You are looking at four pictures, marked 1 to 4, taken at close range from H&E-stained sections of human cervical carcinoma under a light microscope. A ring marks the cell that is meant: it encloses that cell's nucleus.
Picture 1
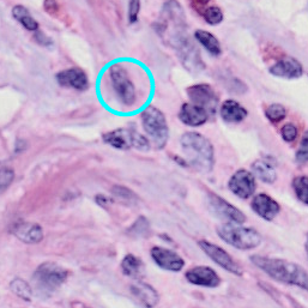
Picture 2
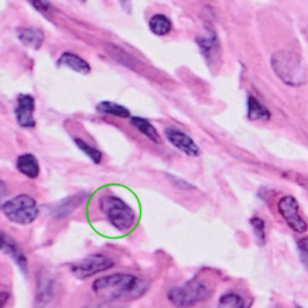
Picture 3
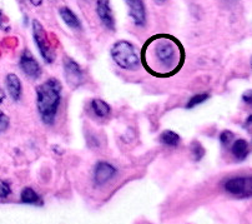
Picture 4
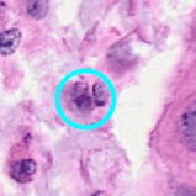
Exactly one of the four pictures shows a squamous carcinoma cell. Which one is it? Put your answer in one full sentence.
It is picture 3 that shows the squamous carcinoma cell.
